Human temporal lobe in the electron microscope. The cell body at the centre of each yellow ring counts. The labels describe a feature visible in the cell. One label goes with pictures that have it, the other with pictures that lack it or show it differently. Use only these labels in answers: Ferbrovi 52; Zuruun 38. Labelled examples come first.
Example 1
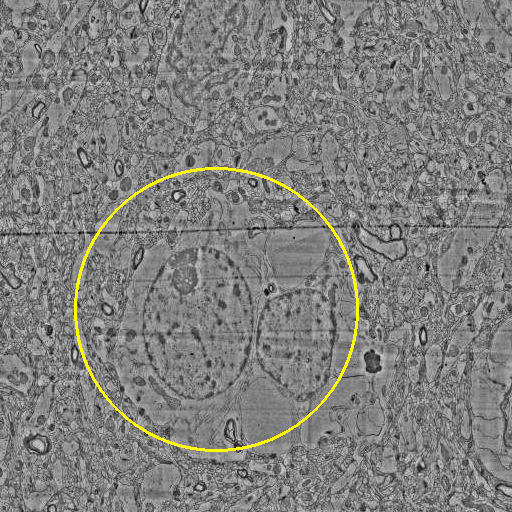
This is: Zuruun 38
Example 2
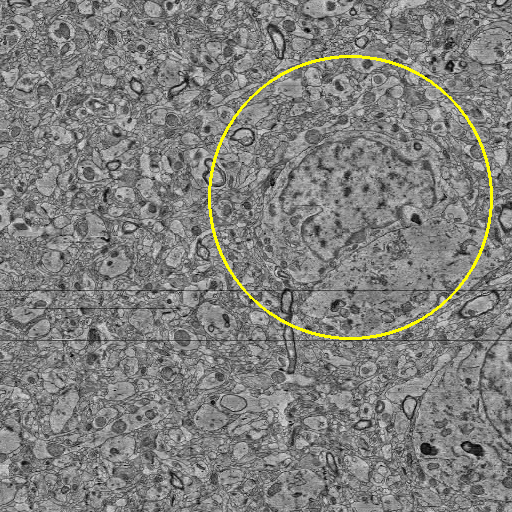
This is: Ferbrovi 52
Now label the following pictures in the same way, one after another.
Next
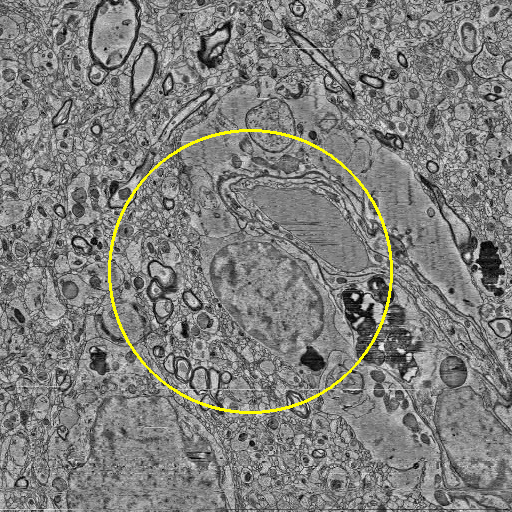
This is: Ferbrovi 52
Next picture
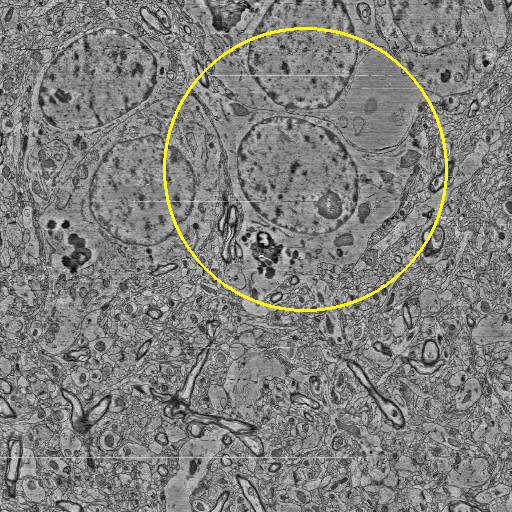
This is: Zuruun 38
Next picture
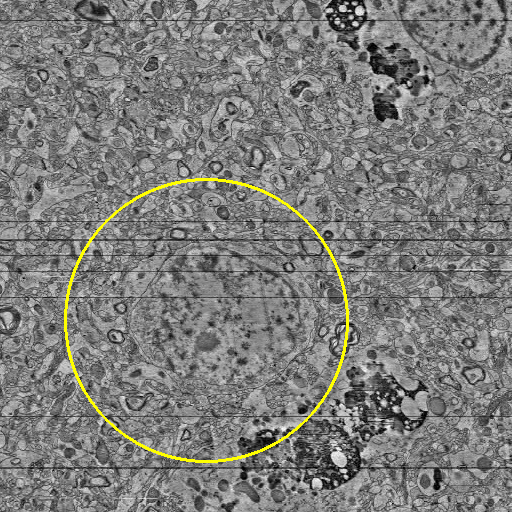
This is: Zuruun 38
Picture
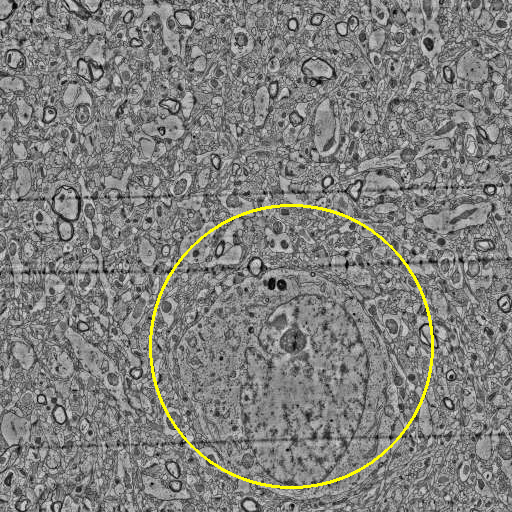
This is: Zuruun 38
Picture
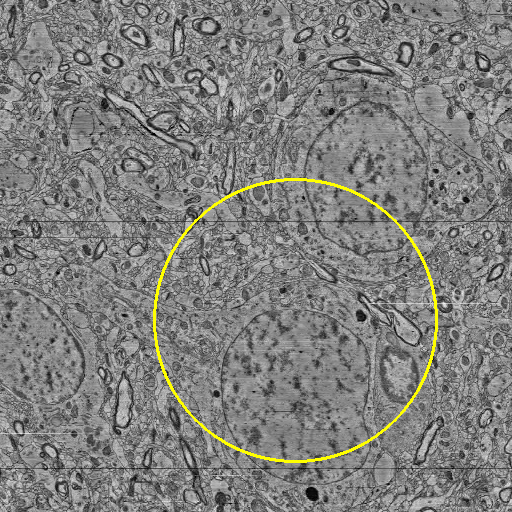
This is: Ferbrovi 52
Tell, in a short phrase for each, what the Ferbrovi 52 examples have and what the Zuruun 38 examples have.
Ferbrovi 52, no nucleolus seen; Zuruun 38, nucleolus seen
